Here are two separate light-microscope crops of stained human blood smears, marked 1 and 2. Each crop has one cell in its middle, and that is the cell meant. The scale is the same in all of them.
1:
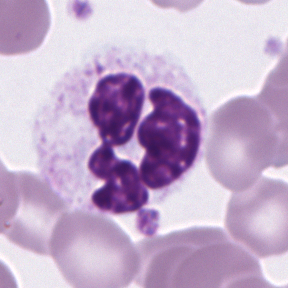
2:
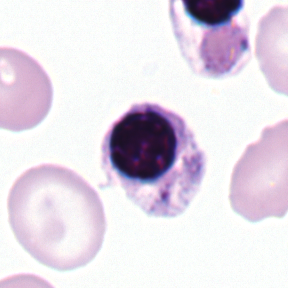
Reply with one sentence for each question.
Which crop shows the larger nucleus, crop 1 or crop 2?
Larger is the nucleus in crop 1, at roughly 3 times the area of the other.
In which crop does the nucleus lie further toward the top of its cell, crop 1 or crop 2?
It is the nucleus in crop 2 that lies further toward the top of its cell.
